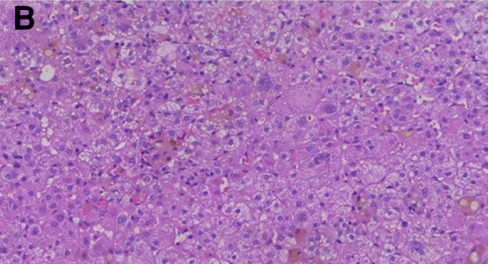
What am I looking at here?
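This is liver with hepatocytes that are swollen and balloon-like, their cytoplasm pale and finely cleared rather than evenly pink. Some hepatocytes are enlarged and hold more than one nucleus, a giant cell change. Yellow-brown globules of bile lie scattered among the cells, and the regular plate arrangement of the liver cells is lost.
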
